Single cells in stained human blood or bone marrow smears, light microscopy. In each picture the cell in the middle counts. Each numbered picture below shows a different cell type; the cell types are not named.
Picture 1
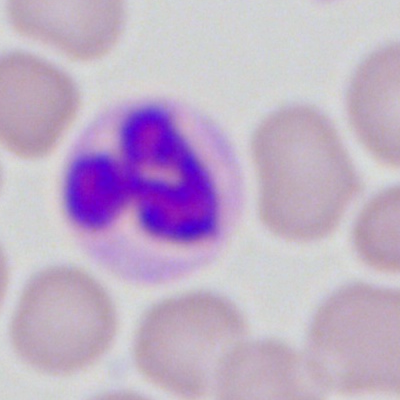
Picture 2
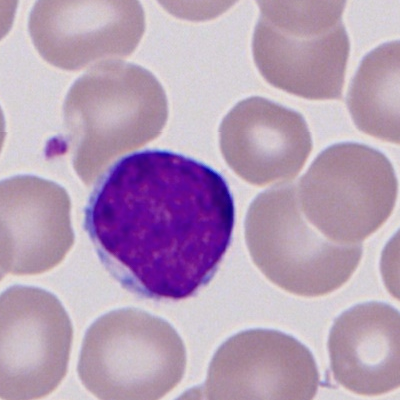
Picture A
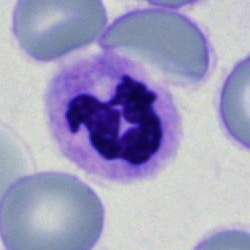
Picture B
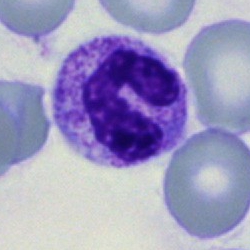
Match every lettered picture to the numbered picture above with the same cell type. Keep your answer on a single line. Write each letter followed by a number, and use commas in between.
A 1, B 1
